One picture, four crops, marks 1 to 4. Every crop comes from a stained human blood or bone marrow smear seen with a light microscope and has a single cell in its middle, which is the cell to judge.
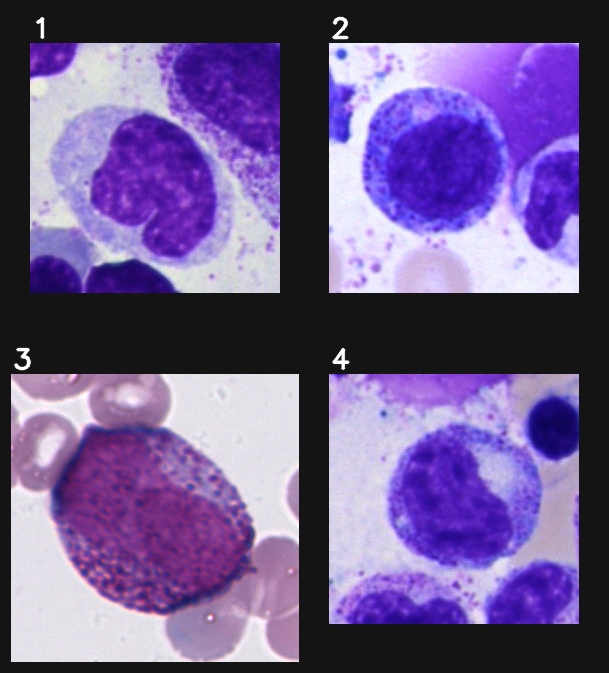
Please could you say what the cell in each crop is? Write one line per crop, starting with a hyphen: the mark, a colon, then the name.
- 1: monocyte
- 2: promyelocyte
- 3: promyelocyte
- 4: promyelocyte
